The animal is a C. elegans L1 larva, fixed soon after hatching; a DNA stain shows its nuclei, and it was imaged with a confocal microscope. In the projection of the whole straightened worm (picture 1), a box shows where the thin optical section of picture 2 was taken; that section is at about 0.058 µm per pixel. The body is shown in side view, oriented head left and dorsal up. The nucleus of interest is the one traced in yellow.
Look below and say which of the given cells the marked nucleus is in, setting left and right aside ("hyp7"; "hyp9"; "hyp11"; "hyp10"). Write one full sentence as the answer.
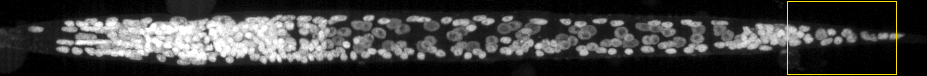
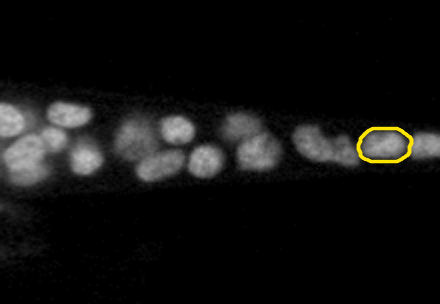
It is the nucleus of hyp10, a hypodermal cell (hyp).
